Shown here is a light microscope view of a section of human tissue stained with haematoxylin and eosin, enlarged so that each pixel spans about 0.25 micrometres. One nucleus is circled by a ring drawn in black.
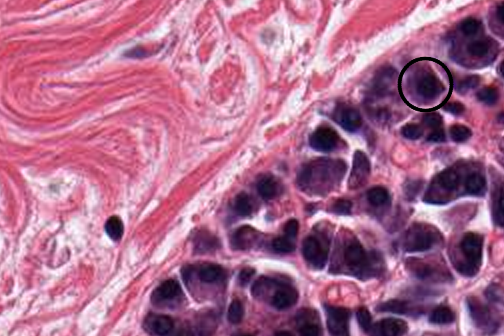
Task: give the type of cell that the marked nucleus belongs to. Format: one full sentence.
What is marked is the nucleus of a pancreatic acinar cell.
